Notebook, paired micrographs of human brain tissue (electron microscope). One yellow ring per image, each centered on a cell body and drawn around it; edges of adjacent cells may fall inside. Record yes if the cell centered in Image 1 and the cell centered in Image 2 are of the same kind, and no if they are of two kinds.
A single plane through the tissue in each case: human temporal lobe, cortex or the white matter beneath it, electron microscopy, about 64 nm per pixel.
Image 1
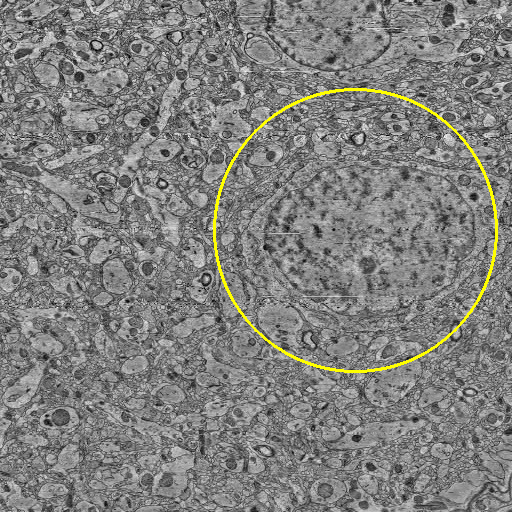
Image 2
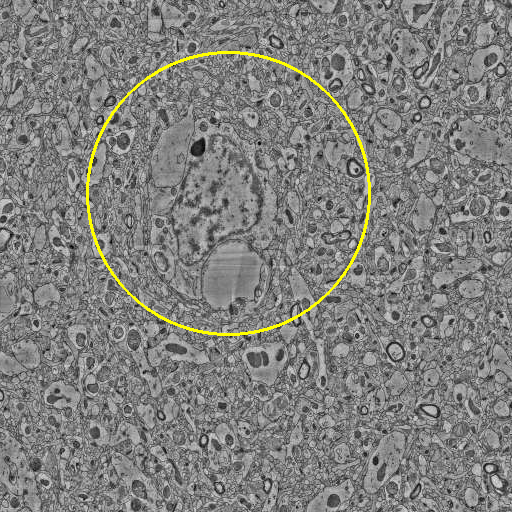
yes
